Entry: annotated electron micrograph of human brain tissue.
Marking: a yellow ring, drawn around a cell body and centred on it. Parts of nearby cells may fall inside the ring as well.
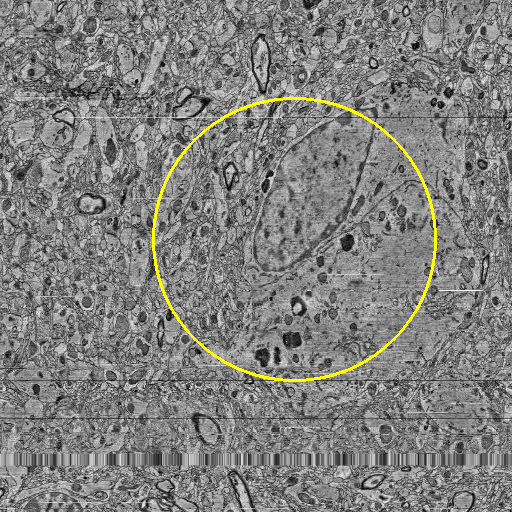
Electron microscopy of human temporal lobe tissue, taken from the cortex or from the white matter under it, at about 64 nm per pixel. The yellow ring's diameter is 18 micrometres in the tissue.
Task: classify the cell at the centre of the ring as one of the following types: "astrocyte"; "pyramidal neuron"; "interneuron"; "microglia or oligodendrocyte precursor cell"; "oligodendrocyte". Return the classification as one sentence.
The marked cell is classified as a microglial cell or oligodendrocyte precursor cell.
